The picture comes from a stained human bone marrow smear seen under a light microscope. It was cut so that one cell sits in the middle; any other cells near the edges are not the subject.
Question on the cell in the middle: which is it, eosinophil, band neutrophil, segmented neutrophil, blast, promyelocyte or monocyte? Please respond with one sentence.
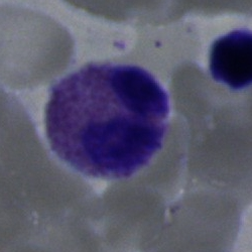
What sits at the centre of this crop is an eosinophil.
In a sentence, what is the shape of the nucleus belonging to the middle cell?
One defining trait here is a nucleus of two or more segments.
